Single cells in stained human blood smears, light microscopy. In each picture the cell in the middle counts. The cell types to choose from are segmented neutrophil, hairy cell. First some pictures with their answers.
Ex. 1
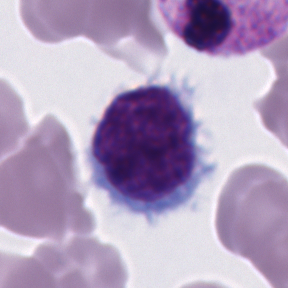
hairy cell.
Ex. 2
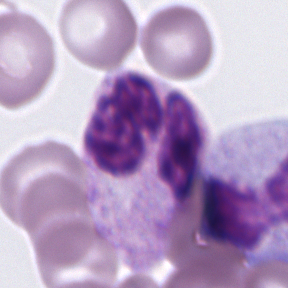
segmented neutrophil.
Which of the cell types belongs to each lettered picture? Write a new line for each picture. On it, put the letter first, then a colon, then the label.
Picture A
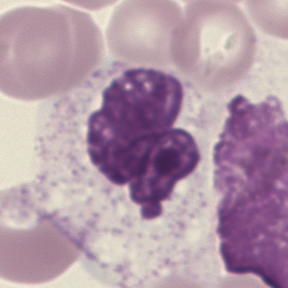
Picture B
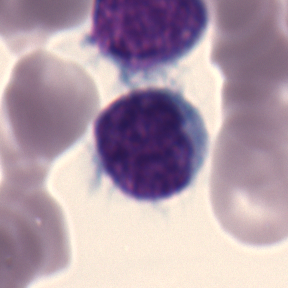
A: segmented neutrophil.
B: hairy cell.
